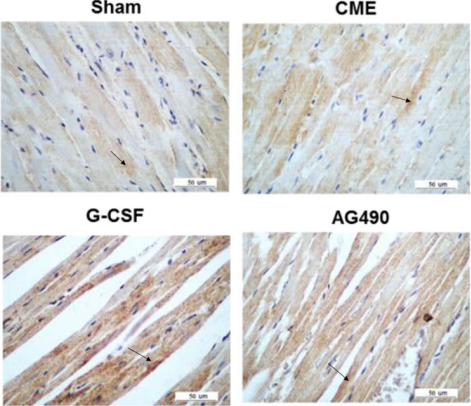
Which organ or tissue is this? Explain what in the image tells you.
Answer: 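Myocardium. Long, parallel, band-like fibres fill each image. Elongated nuclei lie within and between the fibres.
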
